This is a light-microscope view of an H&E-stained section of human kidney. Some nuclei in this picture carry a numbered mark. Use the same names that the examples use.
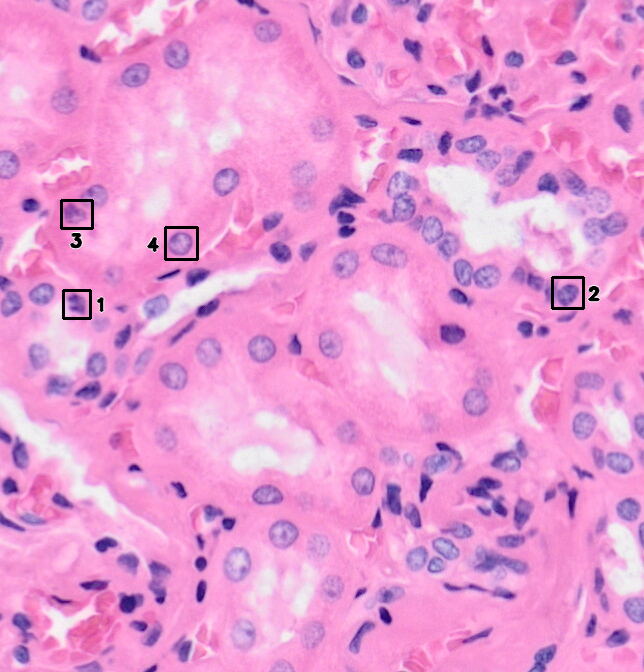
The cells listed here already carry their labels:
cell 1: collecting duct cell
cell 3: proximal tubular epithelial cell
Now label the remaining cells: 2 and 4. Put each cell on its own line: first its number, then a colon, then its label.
2: collecting duct cell
4: proximal tubular epithelial cell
